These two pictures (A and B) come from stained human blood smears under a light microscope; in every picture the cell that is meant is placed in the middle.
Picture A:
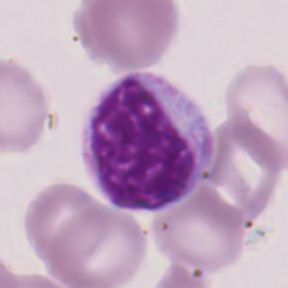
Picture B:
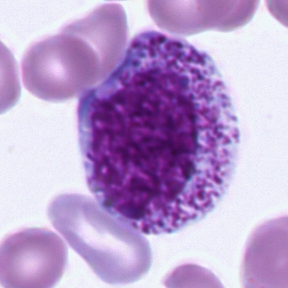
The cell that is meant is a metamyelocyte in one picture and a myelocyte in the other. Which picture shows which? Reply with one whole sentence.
Picture A shows a metamyelocyte and picture B shows a myelocyte.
